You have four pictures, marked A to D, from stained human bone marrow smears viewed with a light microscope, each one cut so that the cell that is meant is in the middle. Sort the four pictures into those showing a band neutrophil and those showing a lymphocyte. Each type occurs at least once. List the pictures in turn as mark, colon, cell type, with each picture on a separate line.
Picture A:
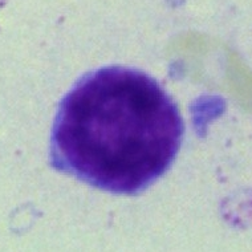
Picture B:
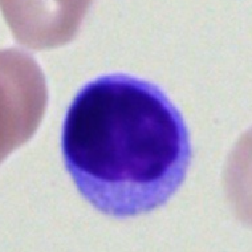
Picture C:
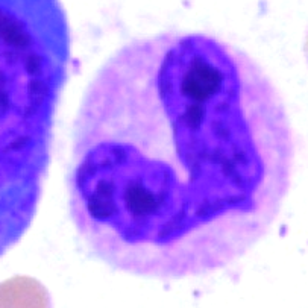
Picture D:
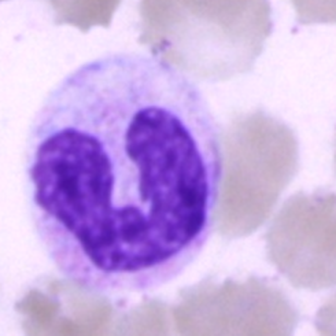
A: lymphocyte
B: lymphocyte
C: band neutrophil
D: band neutrophil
